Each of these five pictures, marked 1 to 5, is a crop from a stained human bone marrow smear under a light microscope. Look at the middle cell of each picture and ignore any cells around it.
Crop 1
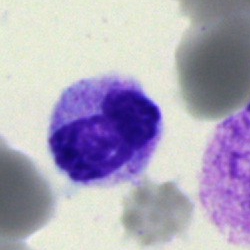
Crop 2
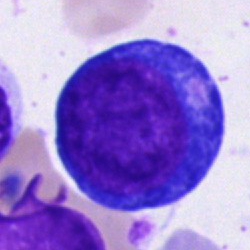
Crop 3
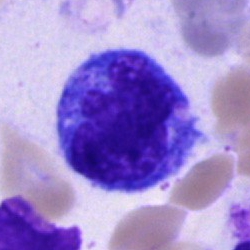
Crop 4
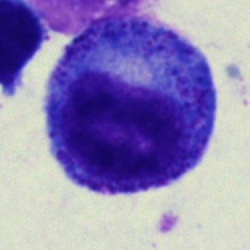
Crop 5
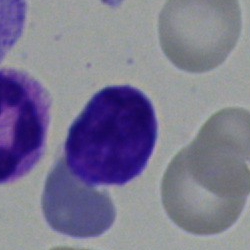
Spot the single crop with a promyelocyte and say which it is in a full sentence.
Crop 4 alone, of all the crops, shows a promyelocyte.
